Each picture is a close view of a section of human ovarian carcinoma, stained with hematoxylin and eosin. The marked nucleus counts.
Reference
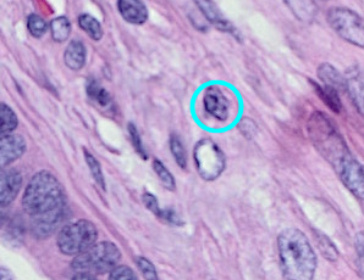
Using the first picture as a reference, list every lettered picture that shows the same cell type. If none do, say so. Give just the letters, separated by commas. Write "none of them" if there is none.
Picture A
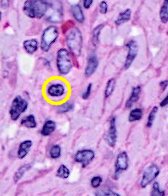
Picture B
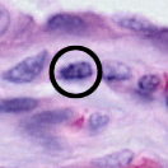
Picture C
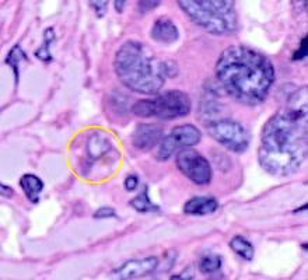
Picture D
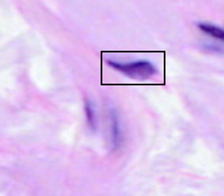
A, B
